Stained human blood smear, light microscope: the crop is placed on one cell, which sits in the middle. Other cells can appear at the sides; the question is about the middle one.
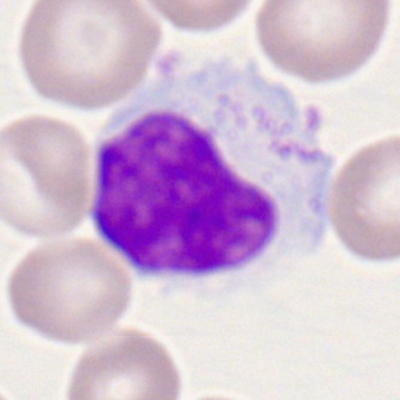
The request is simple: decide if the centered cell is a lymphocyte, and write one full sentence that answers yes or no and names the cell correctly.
Yes, the cell in the center of the field is a lymphocyte.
